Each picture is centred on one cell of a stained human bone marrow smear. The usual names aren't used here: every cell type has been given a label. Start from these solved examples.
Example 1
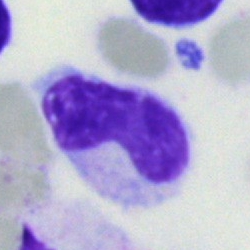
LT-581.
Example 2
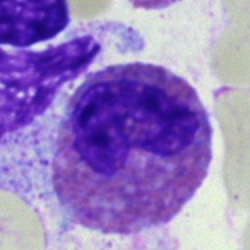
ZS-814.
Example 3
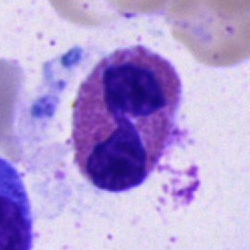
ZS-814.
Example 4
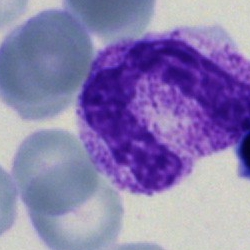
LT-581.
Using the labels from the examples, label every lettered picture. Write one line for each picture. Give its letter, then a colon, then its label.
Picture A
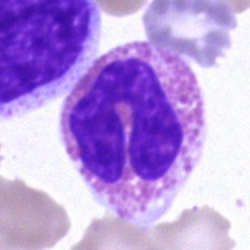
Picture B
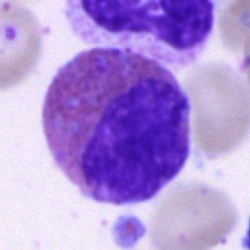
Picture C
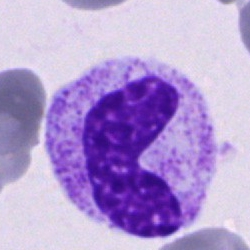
A: ZS-814.
B: ZS-814.
C: LT-581.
